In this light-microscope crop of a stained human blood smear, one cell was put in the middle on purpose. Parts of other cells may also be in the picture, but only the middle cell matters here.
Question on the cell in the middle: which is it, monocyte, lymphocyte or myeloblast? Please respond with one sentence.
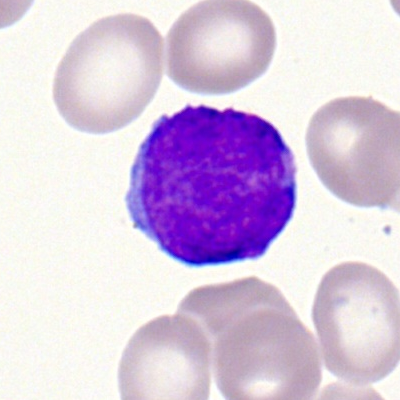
To answer, the cell in the center of the crop is a myeloblast.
